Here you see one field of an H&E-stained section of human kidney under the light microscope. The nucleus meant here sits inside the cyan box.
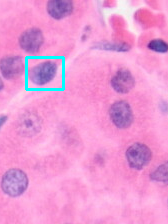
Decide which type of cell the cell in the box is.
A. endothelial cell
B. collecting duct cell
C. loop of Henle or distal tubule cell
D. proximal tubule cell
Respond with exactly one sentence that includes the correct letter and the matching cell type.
Option A is the correct one, since the cell in the box is an endothelial cell.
